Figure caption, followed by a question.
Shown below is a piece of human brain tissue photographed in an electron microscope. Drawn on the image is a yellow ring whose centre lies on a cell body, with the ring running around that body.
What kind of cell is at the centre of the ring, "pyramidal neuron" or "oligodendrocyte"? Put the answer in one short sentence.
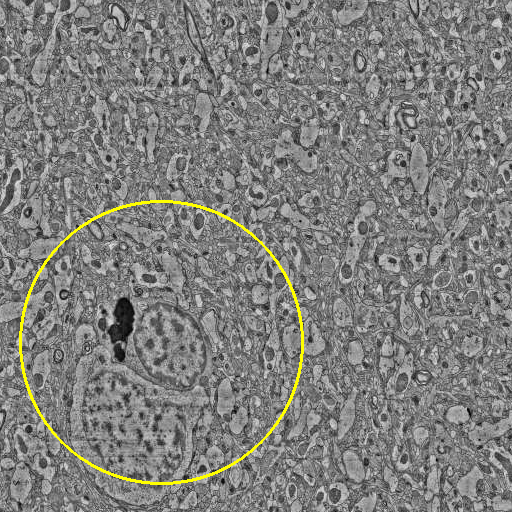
The ring marks the cell body of an oligodendrocyte.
